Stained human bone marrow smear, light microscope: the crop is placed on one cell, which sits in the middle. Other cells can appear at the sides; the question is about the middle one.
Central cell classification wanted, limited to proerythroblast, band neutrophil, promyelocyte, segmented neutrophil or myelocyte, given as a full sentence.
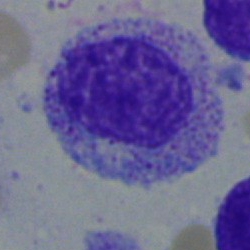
In the center of this field lies a myelocyte.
